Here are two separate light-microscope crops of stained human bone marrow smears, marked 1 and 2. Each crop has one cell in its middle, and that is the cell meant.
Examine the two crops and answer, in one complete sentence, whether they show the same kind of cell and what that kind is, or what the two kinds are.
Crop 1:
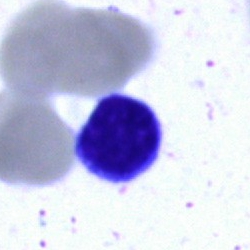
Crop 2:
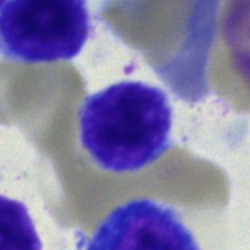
Yes, the first and the second crop both show lymphocytes.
